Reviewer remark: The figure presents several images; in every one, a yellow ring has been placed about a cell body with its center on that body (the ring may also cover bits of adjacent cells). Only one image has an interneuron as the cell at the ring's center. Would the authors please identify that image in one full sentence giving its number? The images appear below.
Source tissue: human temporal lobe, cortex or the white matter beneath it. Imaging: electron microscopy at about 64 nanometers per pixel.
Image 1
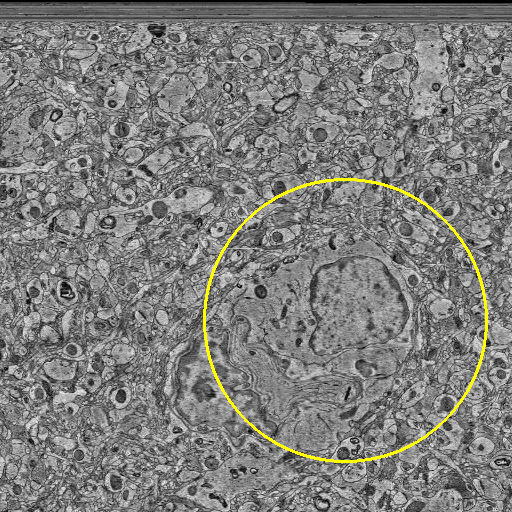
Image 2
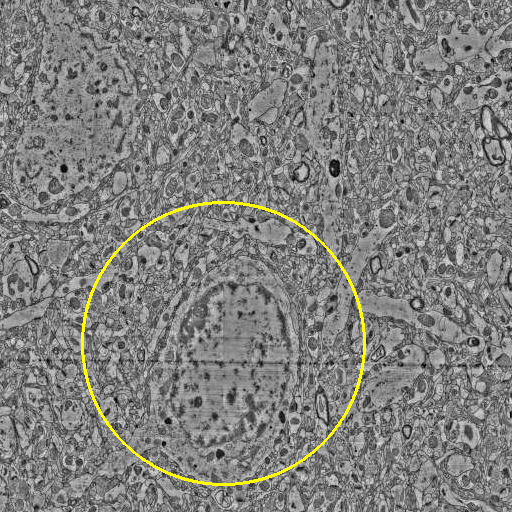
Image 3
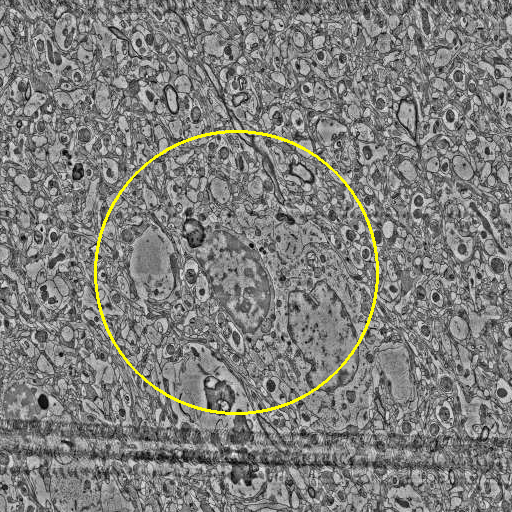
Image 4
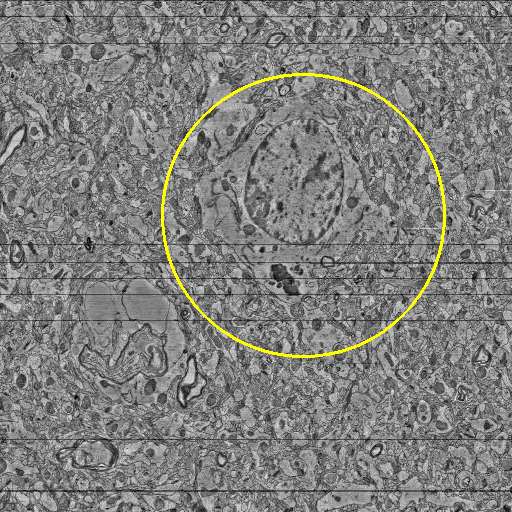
The ring's central cell in image 2 is the one the question describes.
